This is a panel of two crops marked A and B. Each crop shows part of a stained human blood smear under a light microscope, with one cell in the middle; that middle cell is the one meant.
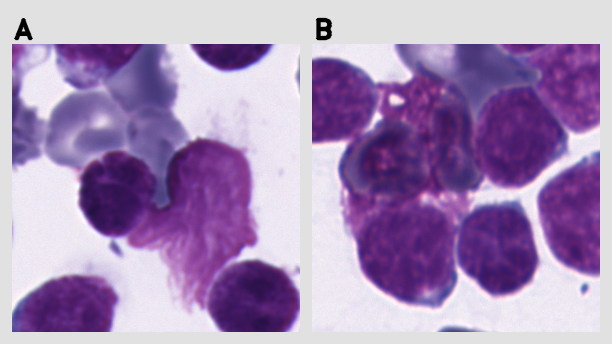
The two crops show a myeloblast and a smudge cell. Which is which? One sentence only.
Crop A shows a smudge cell, whereas crop B shows a myeloblast.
